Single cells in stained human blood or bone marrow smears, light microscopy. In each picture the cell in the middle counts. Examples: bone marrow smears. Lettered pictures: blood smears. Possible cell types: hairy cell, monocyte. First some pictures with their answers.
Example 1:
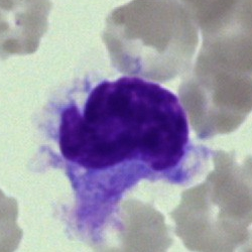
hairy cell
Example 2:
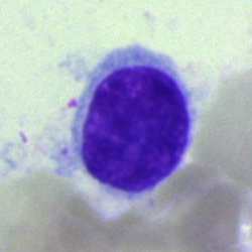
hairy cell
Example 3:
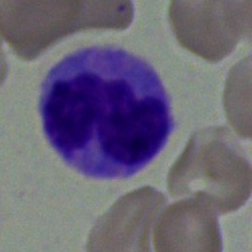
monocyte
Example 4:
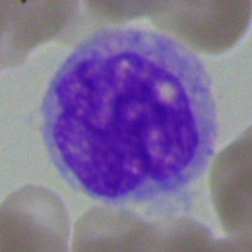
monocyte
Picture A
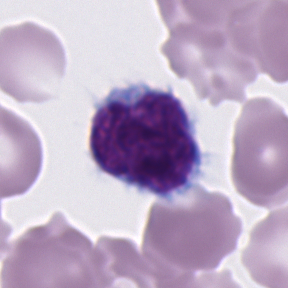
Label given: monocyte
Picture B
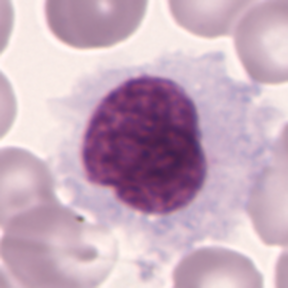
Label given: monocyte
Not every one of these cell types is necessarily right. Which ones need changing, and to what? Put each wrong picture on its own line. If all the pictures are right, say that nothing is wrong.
Wrong: A (monocyte); correct: hairy cell
Wrong: B (monocyte); correct: hairy cell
